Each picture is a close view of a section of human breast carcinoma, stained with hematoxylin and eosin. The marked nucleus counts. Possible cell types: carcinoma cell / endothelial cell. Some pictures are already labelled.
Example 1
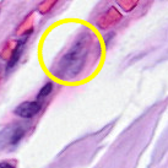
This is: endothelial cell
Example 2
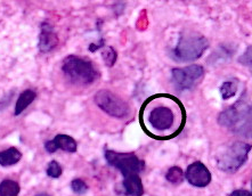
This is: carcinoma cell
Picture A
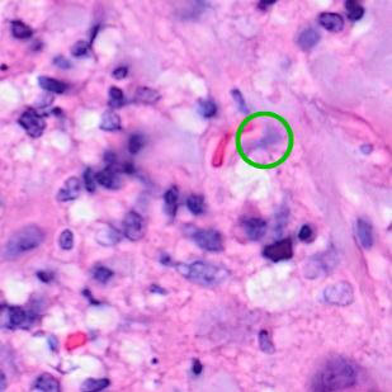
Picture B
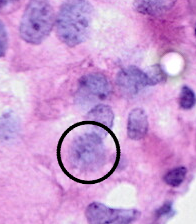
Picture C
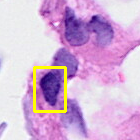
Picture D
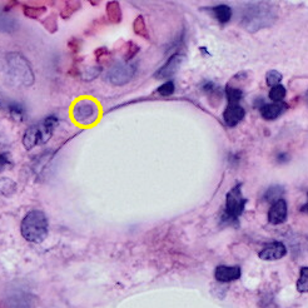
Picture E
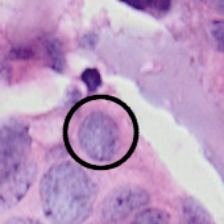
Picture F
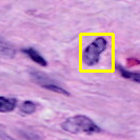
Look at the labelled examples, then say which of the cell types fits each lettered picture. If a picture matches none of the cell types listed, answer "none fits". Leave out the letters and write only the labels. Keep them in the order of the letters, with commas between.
endothelial cell, carcinoma cell, carcinoma cell, endothelial cell, carcinoma cell, none fits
